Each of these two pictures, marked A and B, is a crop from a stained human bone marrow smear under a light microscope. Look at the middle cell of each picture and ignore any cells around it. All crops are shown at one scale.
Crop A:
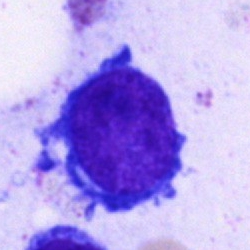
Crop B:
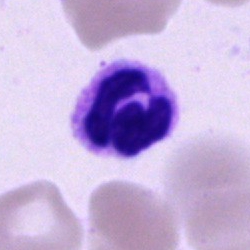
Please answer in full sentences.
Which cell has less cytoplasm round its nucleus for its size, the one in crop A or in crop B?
It is the cell in crop A that is filled more by its nucleus.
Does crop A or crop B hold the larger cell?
The cell in crop A is larger, with about 2 times the area of the one in crop B.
